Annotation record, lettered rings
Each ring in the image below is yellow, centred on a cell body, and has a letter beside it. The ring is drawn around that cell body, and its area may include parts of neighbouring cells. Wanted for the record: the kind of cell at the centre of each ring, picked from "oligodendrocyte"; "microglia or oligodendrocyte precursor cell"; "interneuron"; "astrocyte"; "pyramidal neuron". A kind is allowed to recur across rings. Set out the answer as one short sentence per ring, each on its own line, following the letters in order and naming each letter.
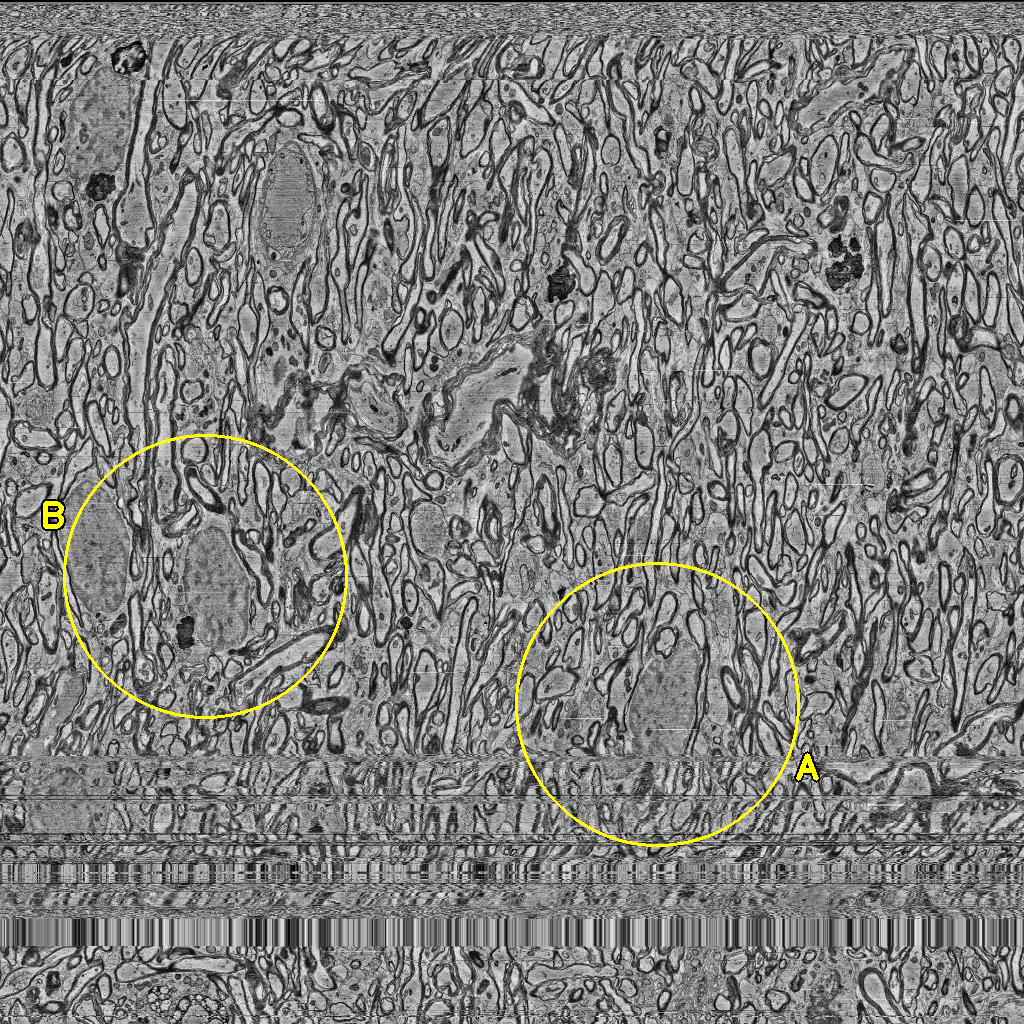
Ring A was drawn on an oligodendrocyte.
Ring B was drawn on an oligodendrocyte.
